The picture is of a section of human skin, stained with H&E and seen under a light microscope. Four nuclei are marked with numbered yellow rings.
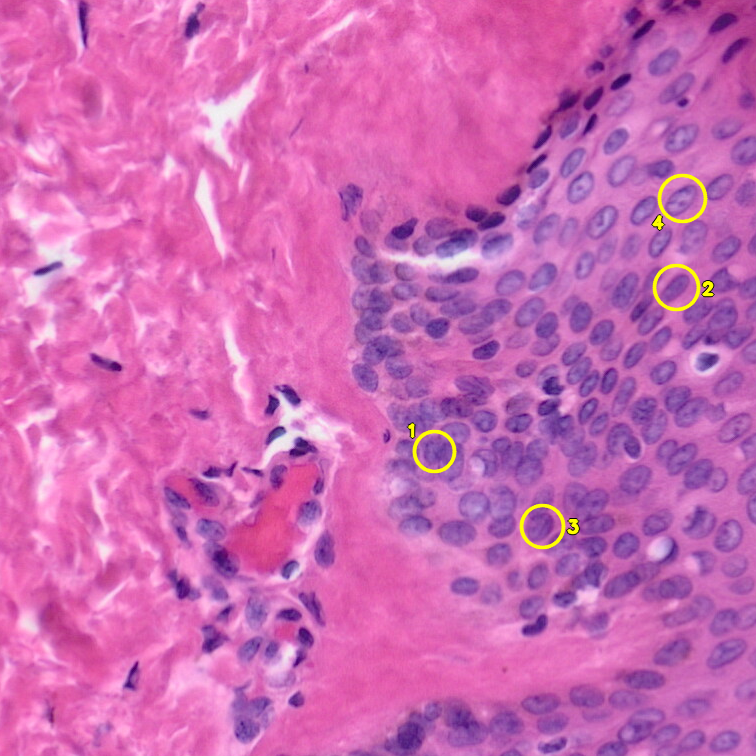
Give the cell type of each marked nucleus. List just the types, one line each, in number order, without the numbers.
basal keratinocyte
basal keratinocyte
basal keratinocyte
suprabasal keratinocyte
